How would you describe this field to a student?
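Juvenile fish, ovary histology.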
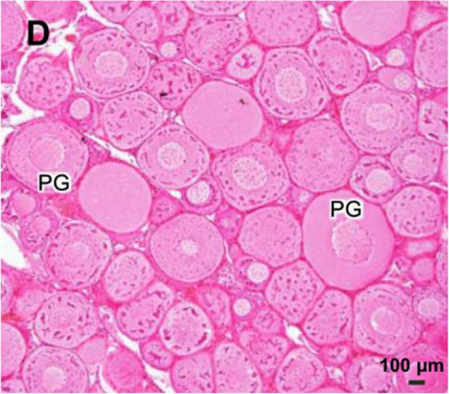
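The smaller oocytes have a denser, more speckled cytoplasm, while the largest ones have smooth, evenly pink cytoplasm; some of these were cut beside their nucleus and appear as plain pink discs. The oocytes press closely against one another, separated only by thin strands of pink tissue, and no yolk-laden or mature eggs are seen.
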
